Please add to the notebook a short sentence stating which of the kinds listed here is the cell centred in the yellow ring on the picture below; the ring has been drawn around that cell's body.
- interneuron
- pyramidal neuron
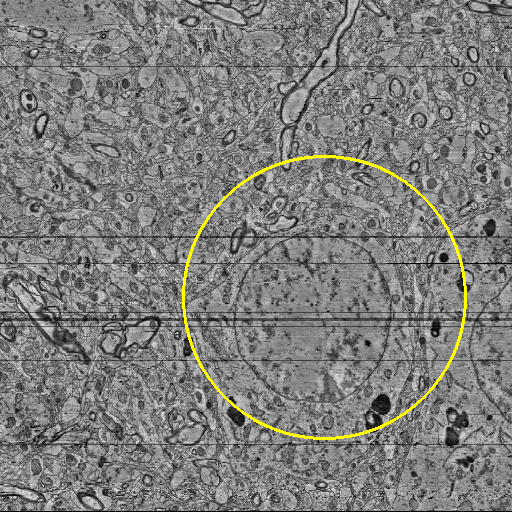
The cell centred in the yellow ring is a pyramidal neuron.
